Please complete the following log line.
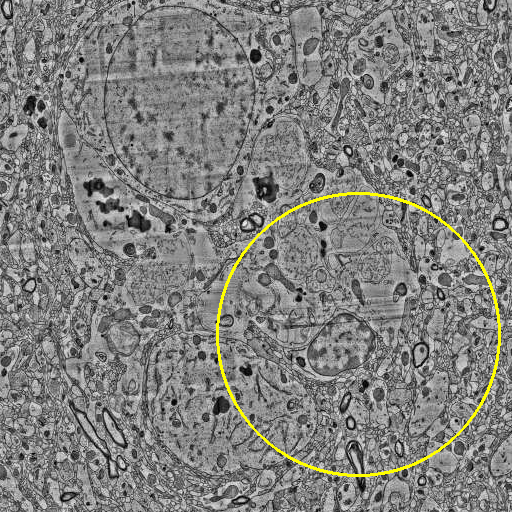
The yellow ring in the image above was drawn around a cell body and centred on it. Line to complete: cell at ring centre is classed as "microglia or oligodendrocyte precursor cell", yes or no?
yes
